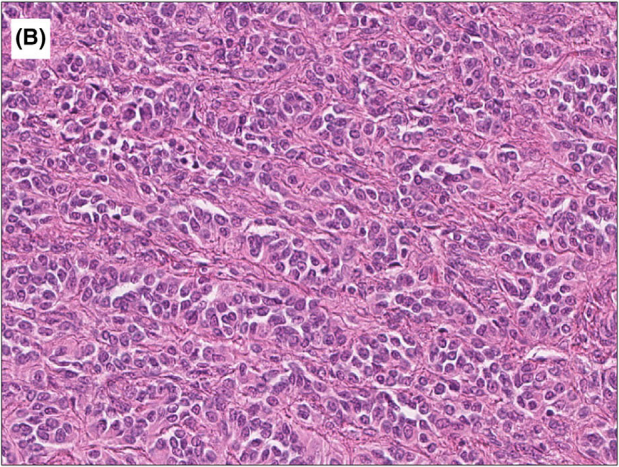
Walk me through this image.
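This tumour shows epithelioid cells arranged in a sertoliform and trabecular pattern, lying in narrow cords and trabeculae only a few cells thick. Delicate pink fibrous strands run between the cords and give the field a streaming, parallel look. The cytology is bland, without striking variation in nuclear size.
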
